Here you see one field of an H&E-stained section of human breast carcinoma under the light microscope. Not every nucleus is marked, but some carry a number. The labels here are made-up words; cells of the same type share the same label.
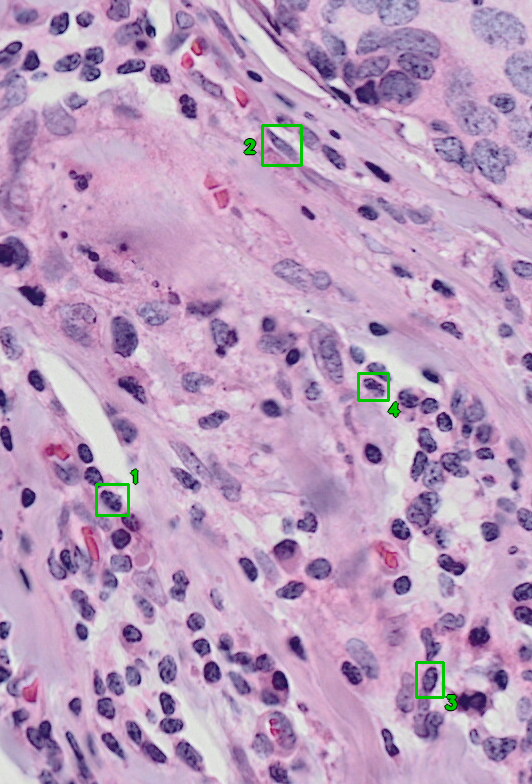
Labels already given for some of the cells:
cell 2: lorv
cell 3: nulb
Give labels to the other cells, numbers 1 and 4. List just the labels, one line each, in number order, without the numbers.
nulb
nulb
